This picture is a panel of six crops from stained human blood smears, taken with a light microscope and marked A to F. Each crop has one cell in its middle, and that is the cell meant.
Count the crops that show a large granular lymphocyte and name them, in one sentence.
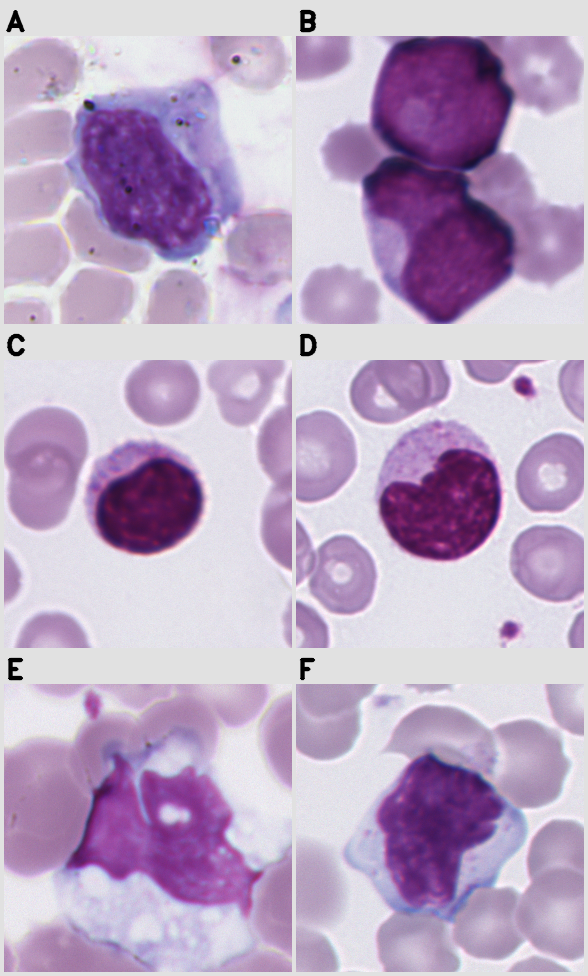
Taken together, crops C, D and F make up the three that show large granular lymphocytes.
